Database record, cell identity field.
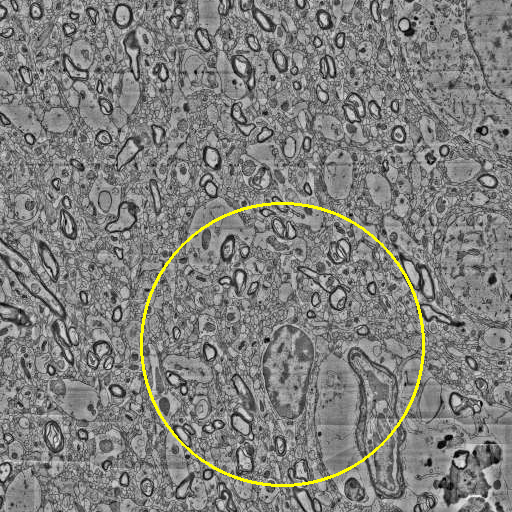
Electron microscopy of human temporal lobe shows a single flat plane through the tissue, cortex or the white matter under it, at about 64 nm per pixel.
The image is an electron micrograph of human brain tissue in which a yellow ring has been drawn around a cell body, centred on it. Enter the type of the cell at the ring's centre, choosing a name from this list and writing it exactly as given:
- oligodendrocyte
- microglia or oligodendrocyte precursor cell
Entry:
microglia or oligodendrocyte precursor cell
